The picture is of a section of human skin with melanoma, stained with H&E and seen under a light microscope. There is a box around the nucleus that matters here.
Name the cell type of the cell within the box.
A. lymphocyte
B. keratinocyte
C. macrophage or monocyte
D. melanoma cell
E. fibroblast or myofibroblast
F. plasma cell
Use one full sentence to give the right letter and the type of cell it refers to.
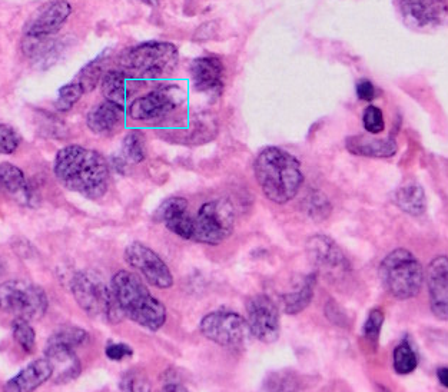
Since the cell within the box is a melanoma cell, option D is correct.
